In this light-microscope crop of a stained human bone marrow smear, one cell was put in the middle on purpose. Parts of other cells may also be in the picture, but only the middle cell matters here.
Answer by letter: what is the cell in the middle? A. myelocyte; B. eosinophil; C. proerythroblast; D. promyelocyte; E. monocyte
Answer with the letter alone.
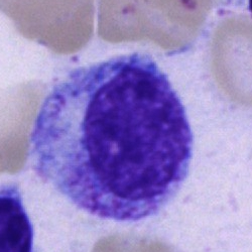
A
